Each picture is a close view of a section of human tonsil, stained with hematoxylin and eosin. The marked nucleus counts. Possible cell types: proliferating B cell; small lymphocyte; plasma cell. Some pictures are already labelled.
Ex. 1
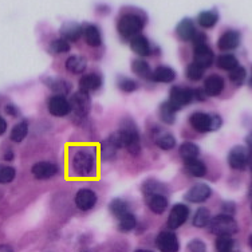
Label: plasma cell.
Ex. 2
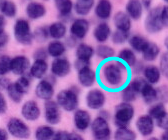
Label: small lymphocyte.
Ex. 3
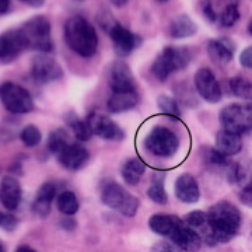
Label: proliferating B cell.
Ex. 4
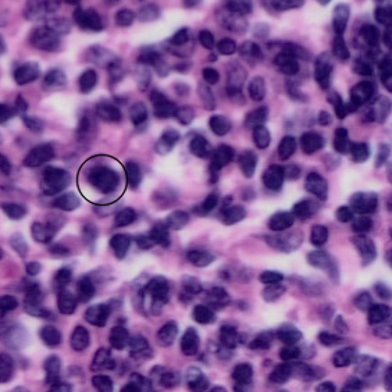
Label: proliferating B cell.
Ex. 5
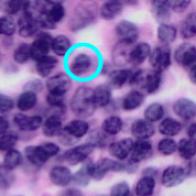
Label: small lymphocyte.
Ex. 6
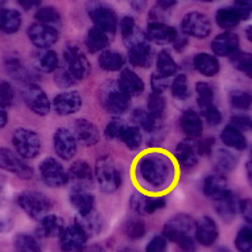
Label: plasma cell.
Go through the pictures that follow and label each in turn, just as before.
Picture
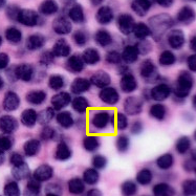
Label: small lymphocyte.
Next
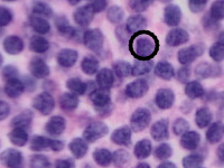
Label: small lymphocyte.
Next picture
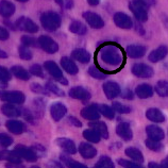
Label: plasma cell.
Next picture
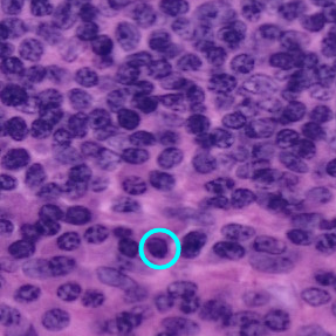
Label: plasma cell.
